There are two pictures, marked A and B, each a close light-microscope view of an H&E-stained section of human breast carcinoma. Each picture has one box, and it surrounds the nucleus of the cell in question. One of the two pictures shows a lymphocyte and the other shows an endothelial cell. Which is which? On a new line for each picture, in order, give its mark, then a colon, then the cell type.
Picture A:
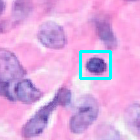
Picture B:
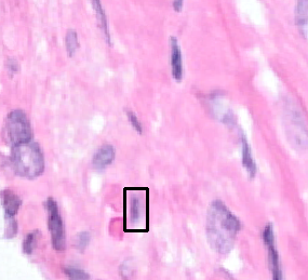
A: lymphocyte
B: endothelial cell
